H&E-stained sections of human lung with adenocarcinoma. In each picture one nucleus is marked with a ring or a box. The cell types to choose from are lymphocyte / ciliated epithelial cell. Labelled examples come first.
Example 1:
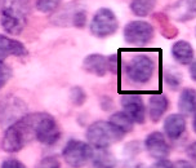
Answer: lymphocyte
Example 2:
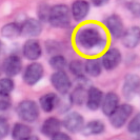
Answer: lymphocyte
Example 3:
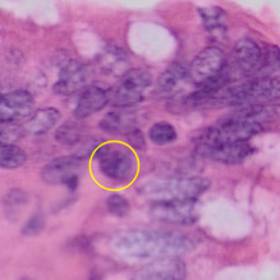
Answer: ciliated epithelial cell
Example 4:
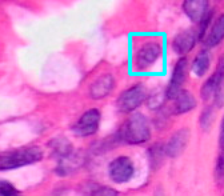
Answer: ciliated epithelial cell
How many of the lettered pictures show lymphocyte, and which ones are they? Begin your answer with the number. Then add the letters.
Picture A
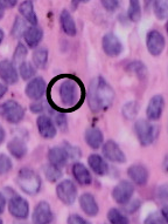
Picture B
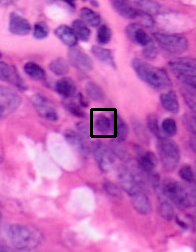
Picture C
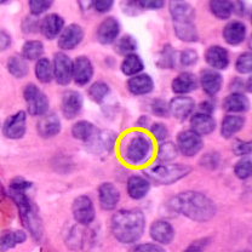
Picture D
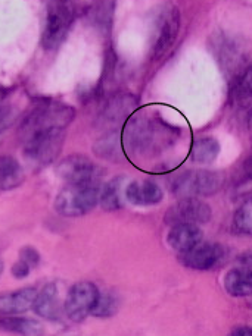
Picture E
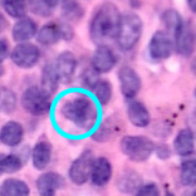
3: A, C, E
